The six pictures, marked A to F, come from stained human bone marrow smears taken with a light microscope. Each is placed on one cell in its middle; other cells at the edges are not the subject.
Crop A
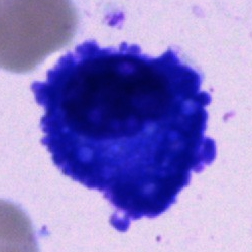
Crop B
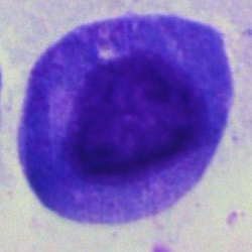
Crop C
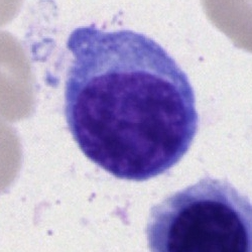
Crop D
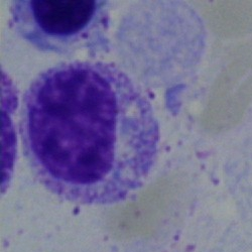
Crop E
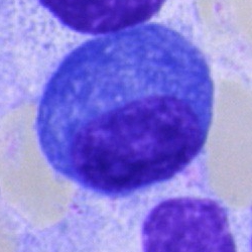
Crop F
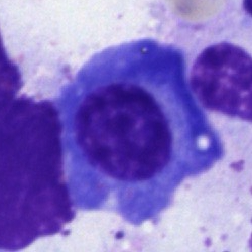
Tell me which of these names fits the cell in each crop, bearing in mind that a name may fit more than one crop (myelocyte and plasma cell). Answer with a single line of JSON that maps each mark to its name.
{"A": "plasma cell", "B": "myelocyte", "C": "plasma cell", "D": "myelocyte", "E": "plasma cell", "F": "plasma cell"}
